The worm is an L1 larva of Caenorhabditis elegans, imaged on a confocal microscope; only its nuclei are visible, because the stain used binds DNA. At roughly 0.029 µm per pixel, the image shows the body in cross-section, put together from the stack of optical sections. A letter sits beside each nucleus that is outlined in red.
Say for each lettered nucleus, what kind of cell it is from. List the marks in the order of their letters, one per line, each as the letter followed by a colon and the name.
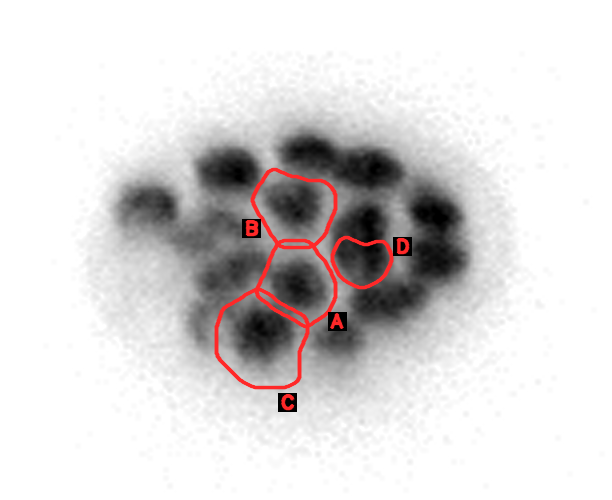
A: pharyngeal muscle cell
B: pharyngeal muscle cell
C: neuron
D: pharyngeal muscle cell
